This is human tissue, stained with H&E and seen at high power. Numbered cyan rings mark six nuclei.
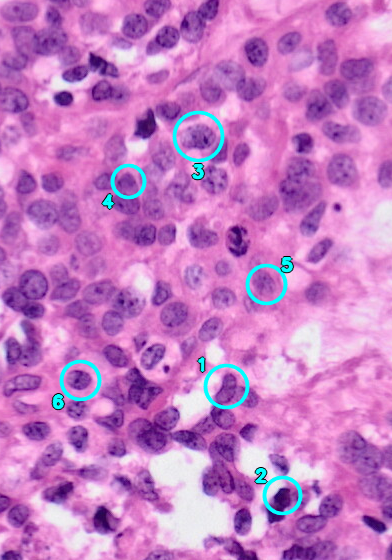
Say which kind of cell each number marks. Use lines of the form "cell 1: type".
cell 1: carcinoma cell
cell 2: carcinoma cell
cell 3: macrophage or monocyte
cell 4: carcinoma cell
cell 5: carcinoma cell
cell 6: macrophage or monocyte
